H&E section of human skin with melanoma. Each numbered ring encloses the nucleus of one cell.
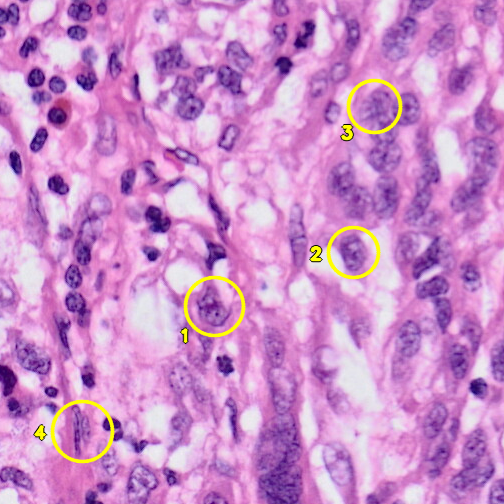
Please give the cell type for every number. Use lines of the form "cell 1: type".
cell 1: melanoma cell
cell 2: melanoma cell
cell 3: melanoma cell
cell 4: endothelial cell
